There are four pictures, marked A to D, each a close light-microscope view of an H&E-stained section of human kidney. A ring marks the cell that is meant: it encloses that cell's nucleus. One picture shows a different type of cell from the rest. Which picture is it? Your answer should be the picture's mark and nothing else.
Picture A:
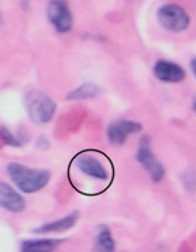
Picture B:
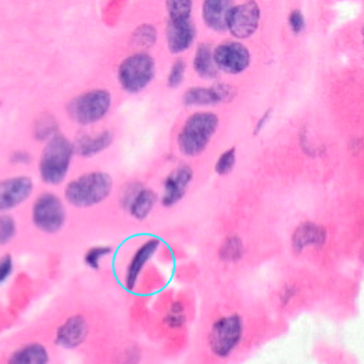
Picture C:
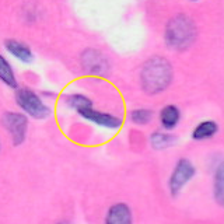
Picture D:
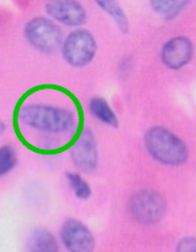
D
